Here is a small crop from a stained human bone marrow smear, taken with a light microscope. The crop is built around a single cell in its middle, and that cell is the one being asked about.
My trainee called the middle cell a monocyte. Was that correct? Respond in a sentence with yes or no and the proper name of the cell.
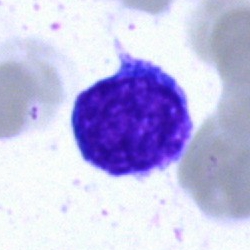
No, the middle cell is not a monocyte, it being a lymphocyte.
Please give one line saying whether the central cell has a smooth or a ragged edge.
Smoothness is lacking at the edge, which is ragged in places or drawn into projections.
